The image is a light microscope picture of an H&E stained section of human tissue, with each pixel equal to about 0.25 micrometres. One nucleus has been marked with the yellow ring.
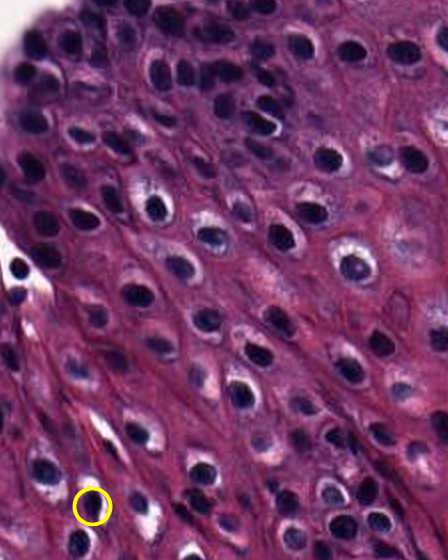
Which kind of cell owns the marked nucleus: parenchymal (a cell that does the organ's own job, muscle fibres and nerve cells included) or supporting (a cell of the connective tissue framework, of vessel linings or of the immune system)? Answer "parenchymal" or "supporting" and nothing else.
parenchymal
